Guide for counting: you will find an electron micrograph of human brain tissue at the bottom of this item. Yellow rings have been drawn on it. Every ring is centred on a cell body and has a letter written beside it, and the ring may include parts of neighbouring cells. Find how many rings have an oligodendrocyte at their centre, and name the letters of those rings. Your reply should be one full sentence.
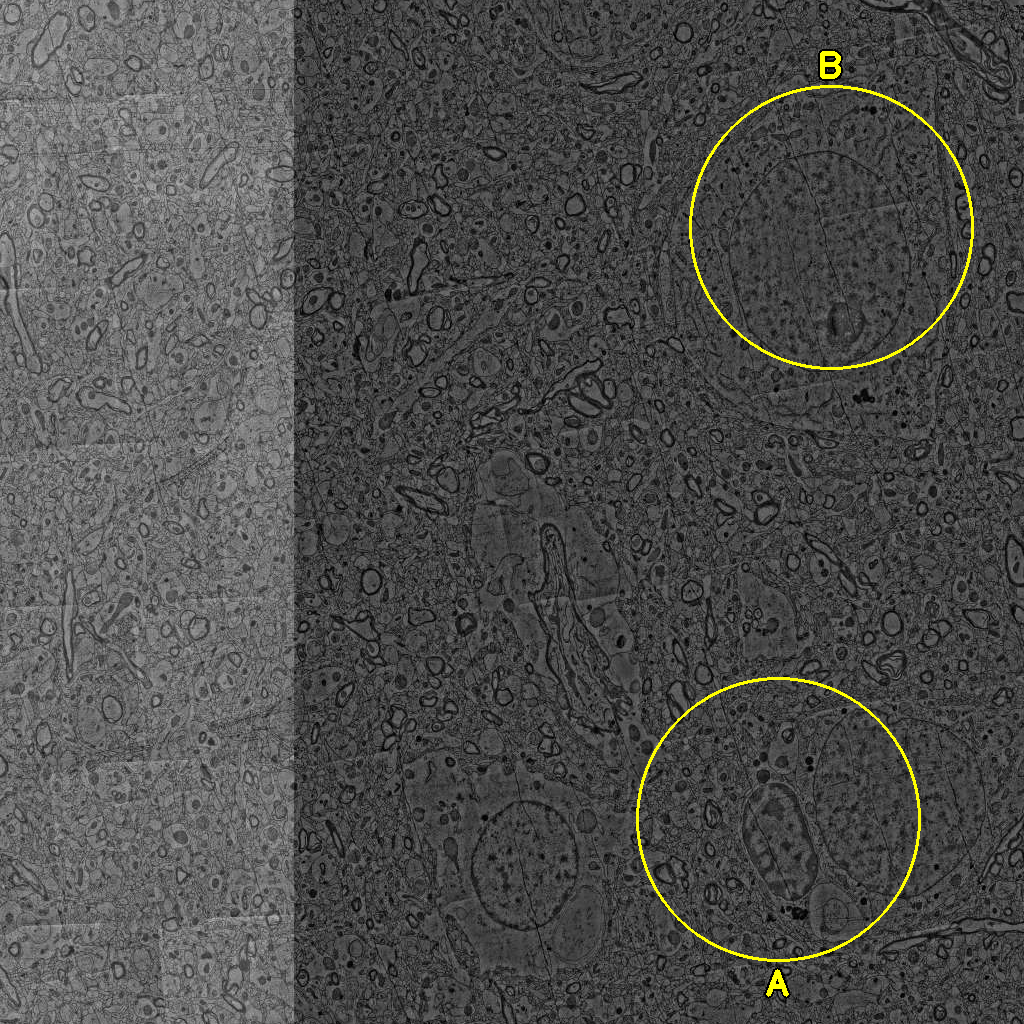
Zero yellow rings have an oligodendrocyte at their centre in this micrograph.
